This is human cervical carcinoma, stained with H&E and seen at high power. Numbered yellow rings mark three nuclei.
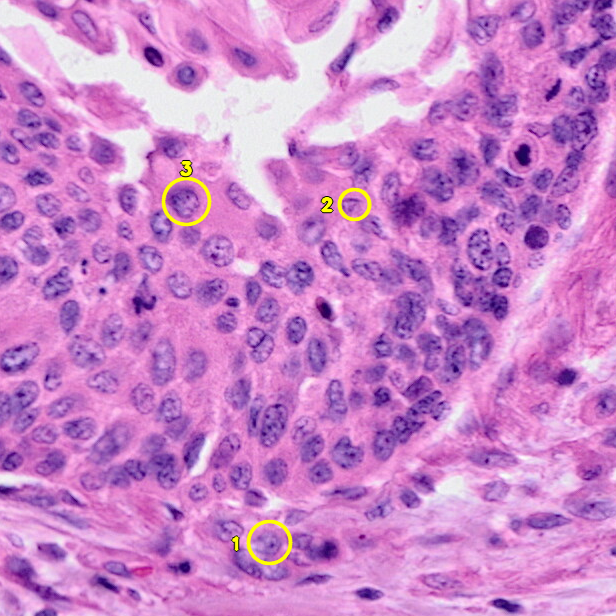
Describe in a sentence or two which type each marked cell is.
Cell 1 is an endothelial cell, cell 2 is a squamous carcinoma cell and cell 3 is a squamous carcinoma cell.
